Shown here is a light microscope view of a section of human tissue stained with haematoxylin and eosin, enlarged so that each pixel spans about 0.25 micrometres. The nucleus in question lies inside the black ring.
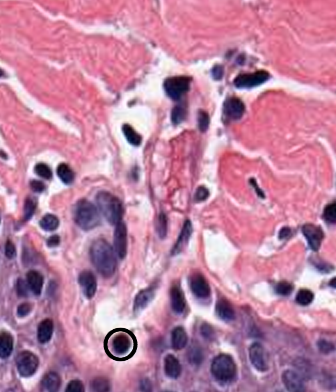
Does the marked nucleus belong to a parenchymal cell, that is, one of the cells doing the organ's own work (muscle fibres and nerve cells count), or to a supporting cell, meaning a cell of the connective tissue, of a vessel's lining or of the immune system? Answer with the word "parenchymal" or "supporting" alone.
supporting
